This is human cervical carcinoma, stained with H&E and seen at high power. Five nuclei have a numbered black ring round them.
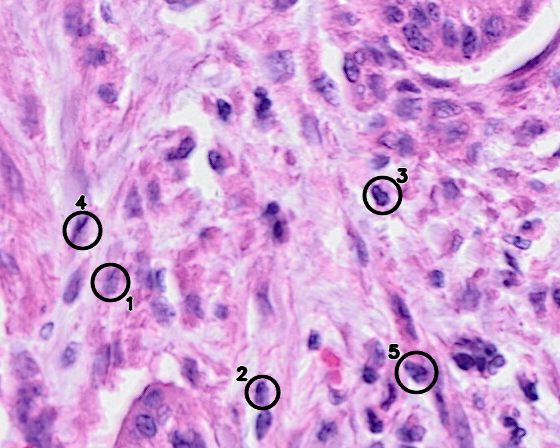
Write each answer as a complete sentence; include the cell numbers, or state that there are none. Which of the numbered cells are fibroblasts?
Regarding the numbered cells 1 and 4, these are fibroblasts.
